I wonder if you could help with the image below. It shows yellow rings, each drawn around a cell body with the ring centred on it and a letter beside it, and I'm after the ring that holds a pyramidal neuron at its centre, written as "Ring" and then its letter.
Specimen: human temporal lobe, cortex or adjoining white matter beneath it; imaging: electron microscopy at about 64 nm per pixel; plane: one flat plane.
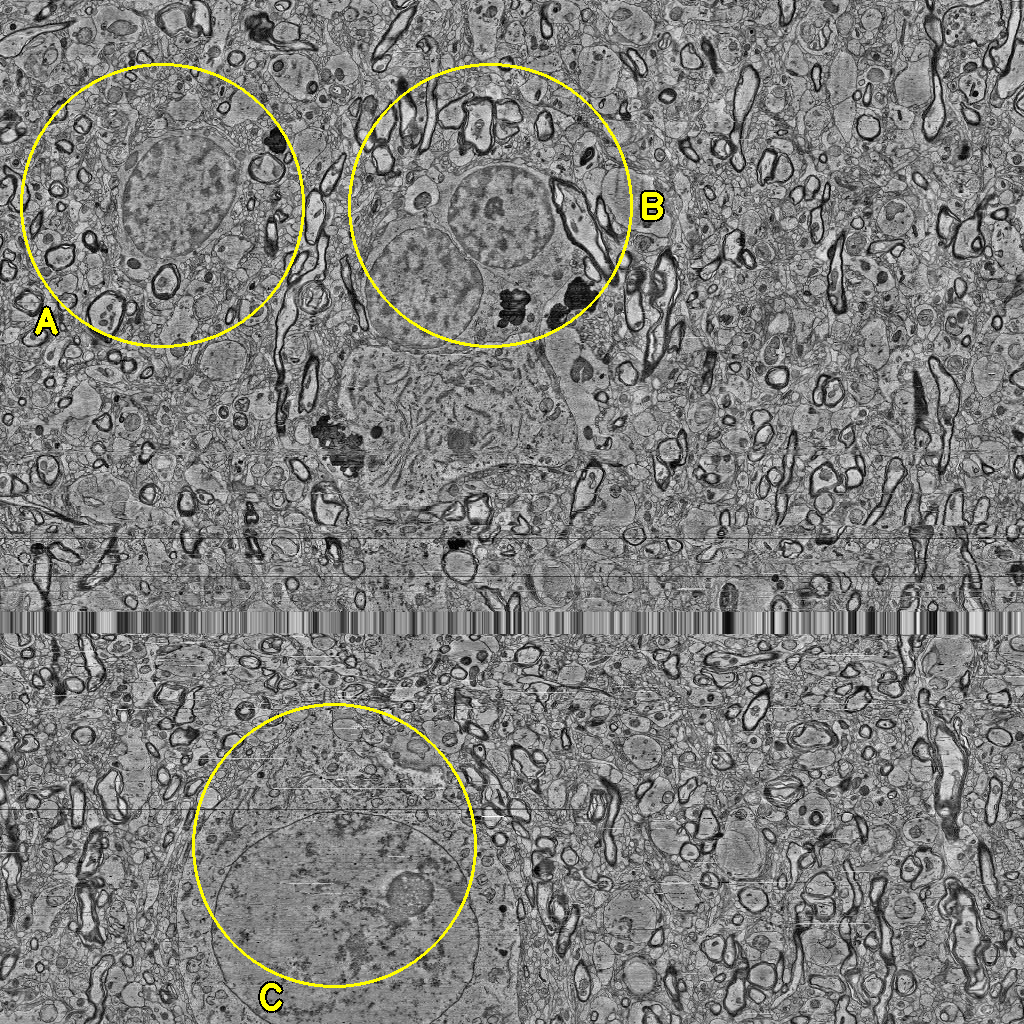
Ring C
